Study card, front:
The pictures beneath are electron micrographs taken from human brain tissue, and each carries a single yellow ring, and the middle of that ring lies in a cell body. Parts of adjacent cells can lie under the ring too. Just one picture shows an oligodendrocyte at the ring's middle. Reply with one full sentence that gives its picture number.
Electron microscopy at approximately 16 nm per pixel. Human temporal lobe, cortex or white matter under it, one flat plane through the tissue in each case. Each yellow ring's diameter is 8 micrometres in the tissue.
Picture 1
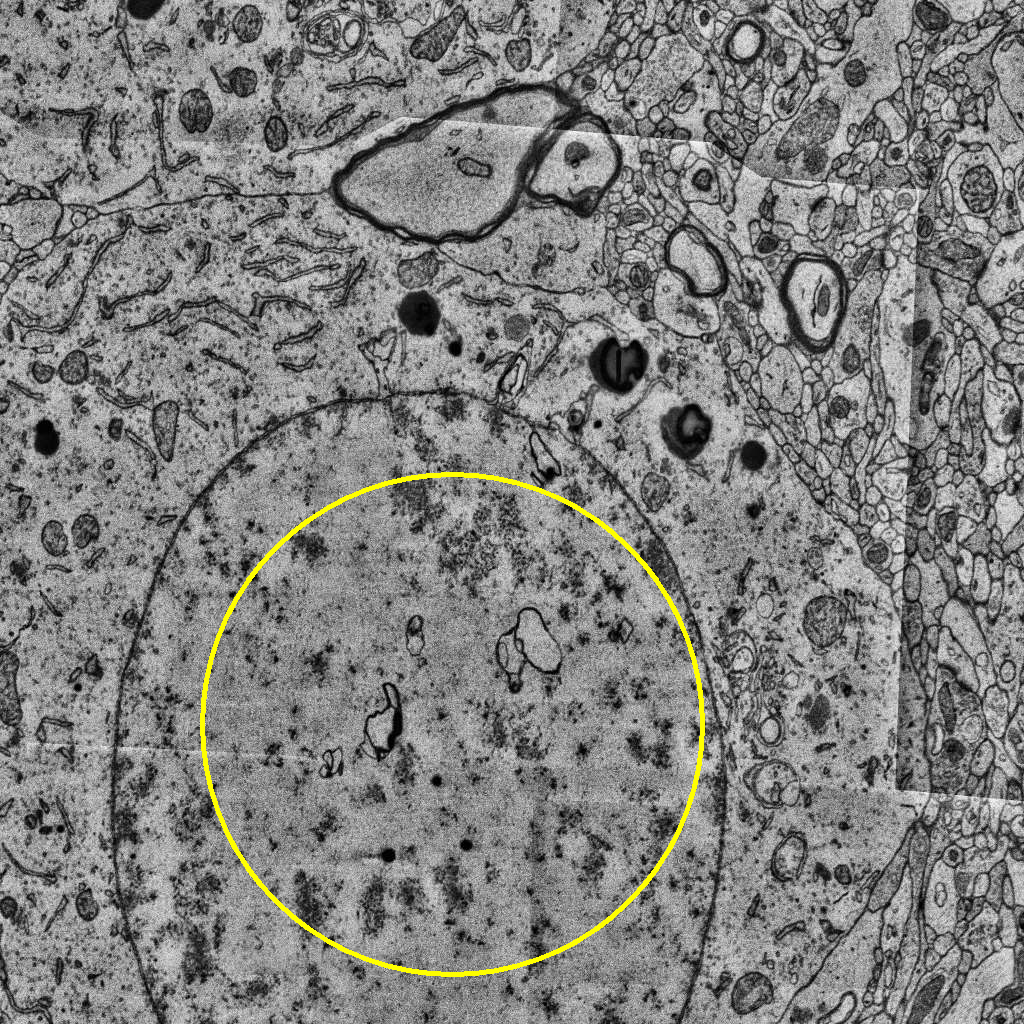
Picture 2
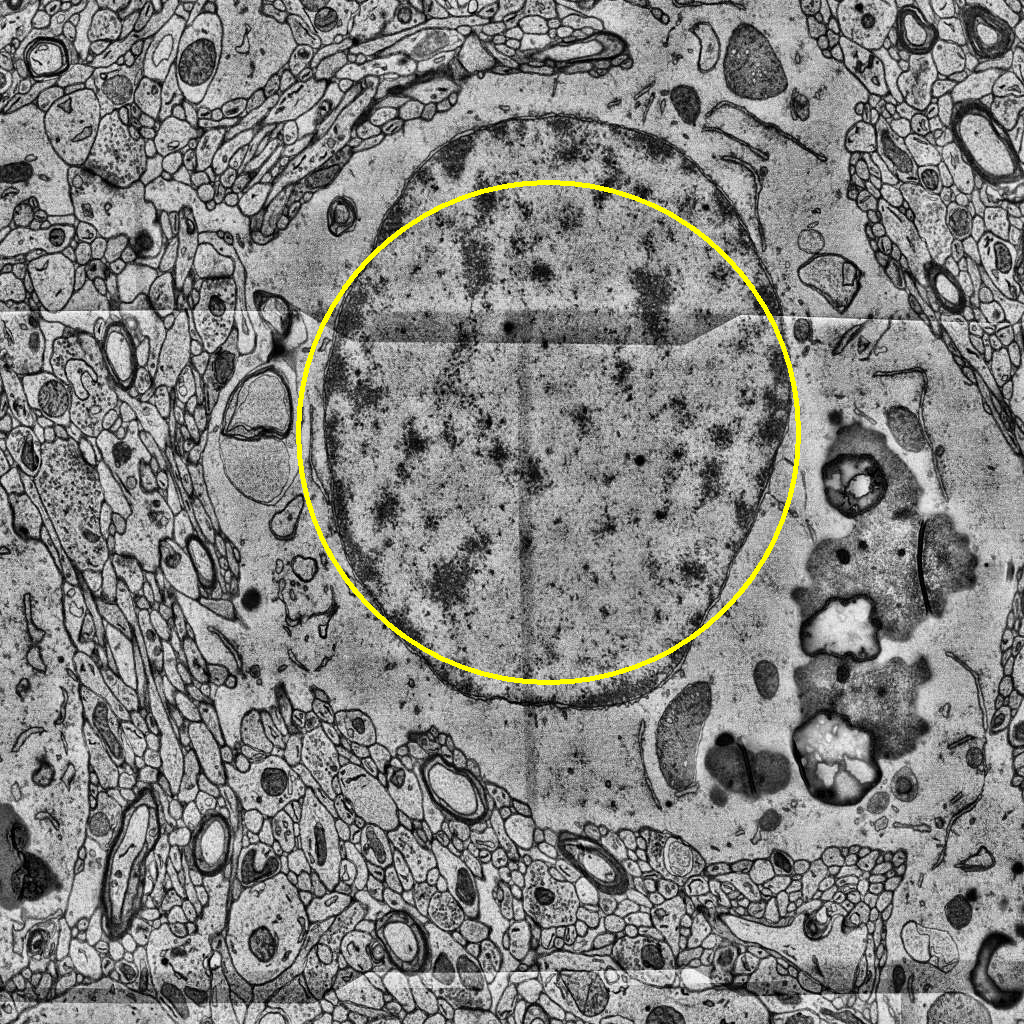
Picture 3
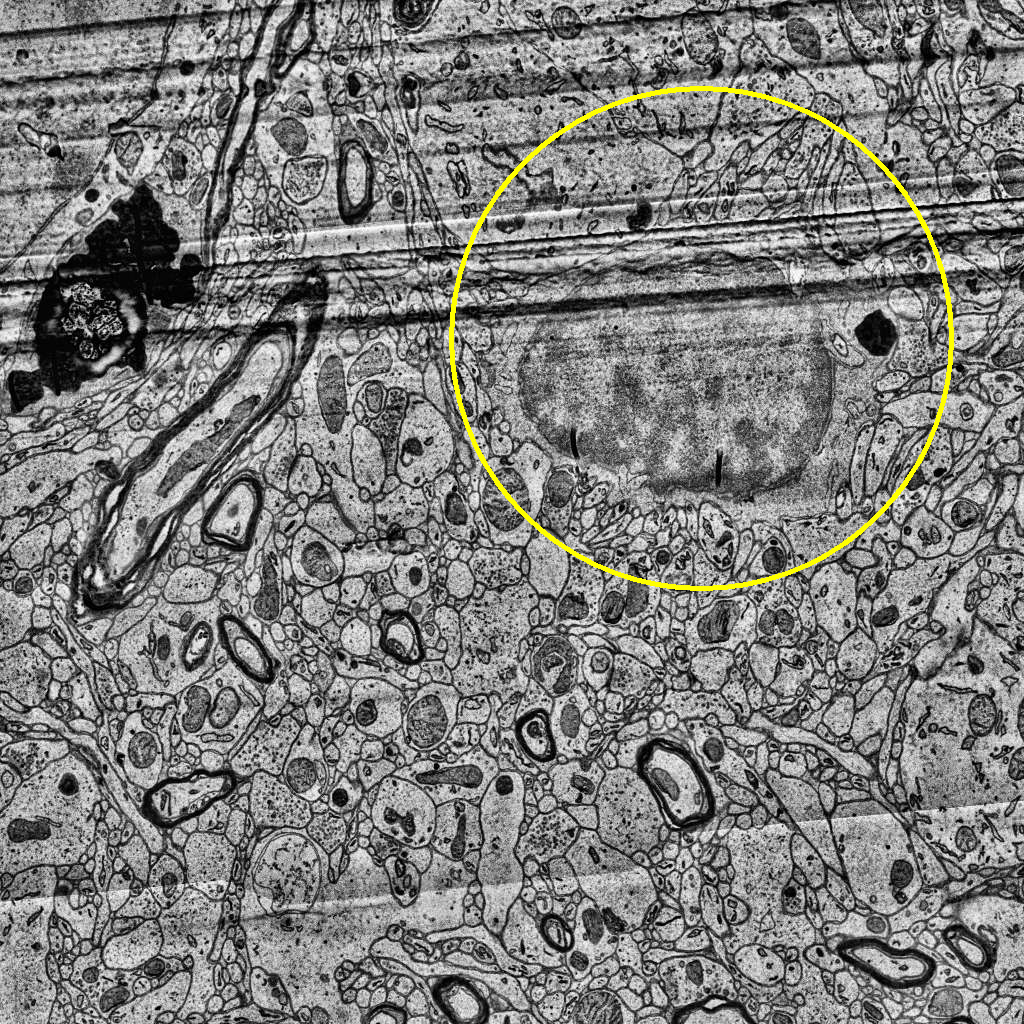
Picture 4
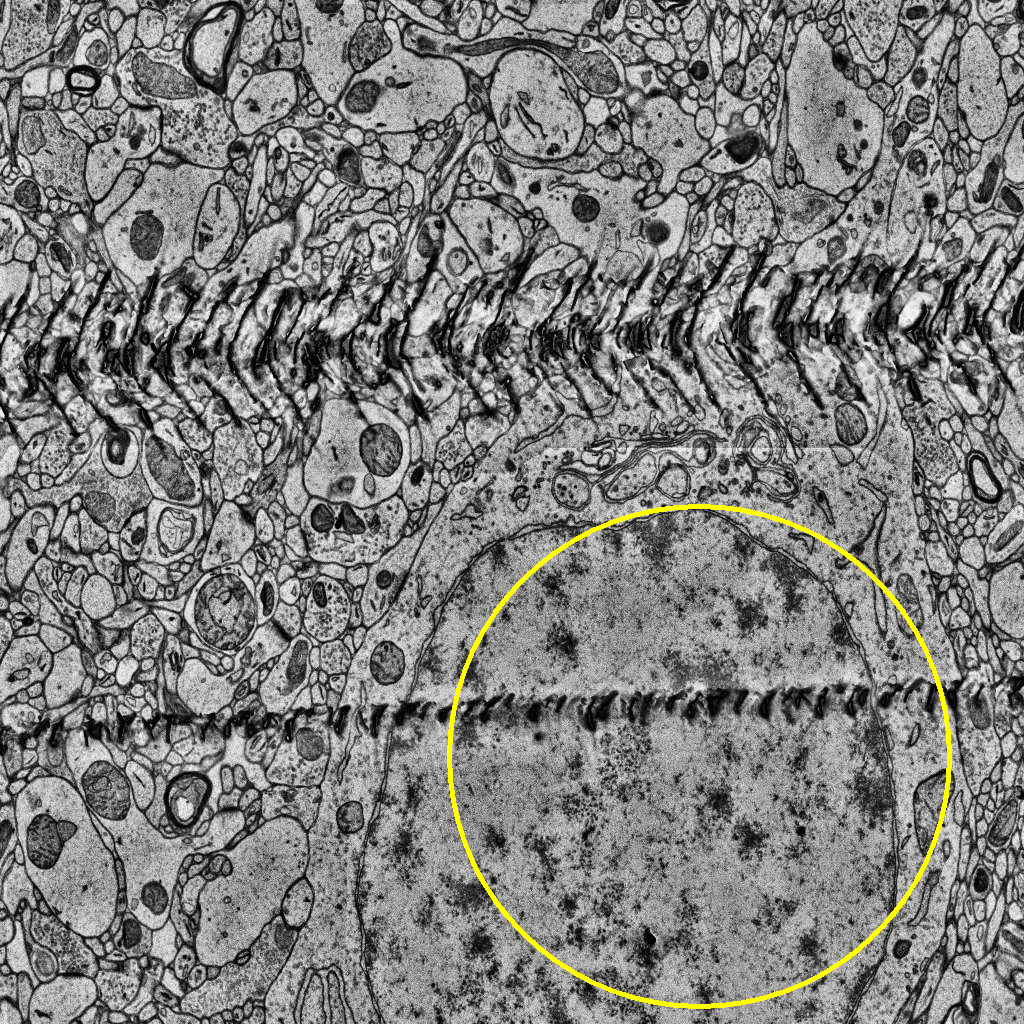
Picture 3 is the one whose ring has its centre within the requested cell.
